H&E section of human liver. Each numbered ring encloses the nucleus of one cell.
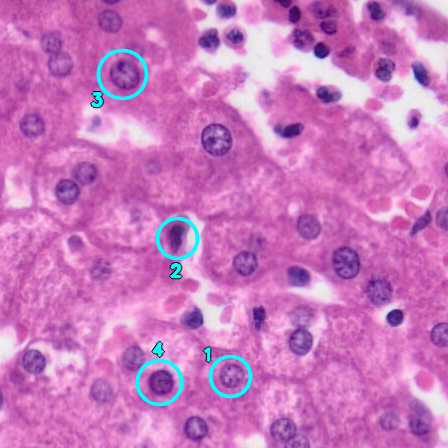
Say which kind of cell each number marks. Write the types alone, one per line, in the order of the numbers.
hepatocyte
Kupffer cell
hepatocyte
hepatocyte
